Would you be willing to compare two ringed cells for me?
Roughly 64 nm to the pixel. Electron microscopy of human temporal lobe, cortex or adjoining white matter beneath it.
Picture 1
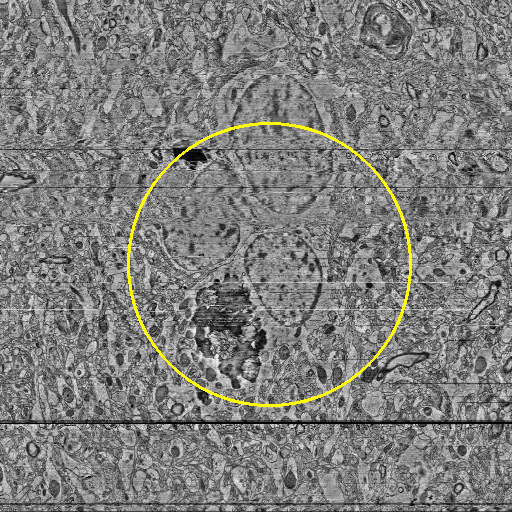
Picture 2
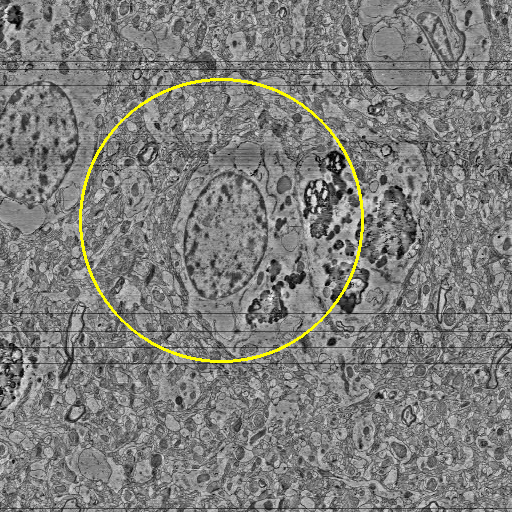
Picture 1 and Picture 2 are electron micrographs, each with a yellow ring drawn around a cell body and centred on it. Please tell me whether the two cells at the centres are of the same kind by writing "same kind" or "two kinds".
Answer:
same kind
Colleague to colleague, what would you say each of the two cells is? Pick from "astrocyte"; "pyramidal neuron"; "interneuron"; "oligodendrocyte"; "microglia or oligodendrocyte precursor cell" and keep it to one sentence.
Each of the two pictures has an astrocyte at the ring centre.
